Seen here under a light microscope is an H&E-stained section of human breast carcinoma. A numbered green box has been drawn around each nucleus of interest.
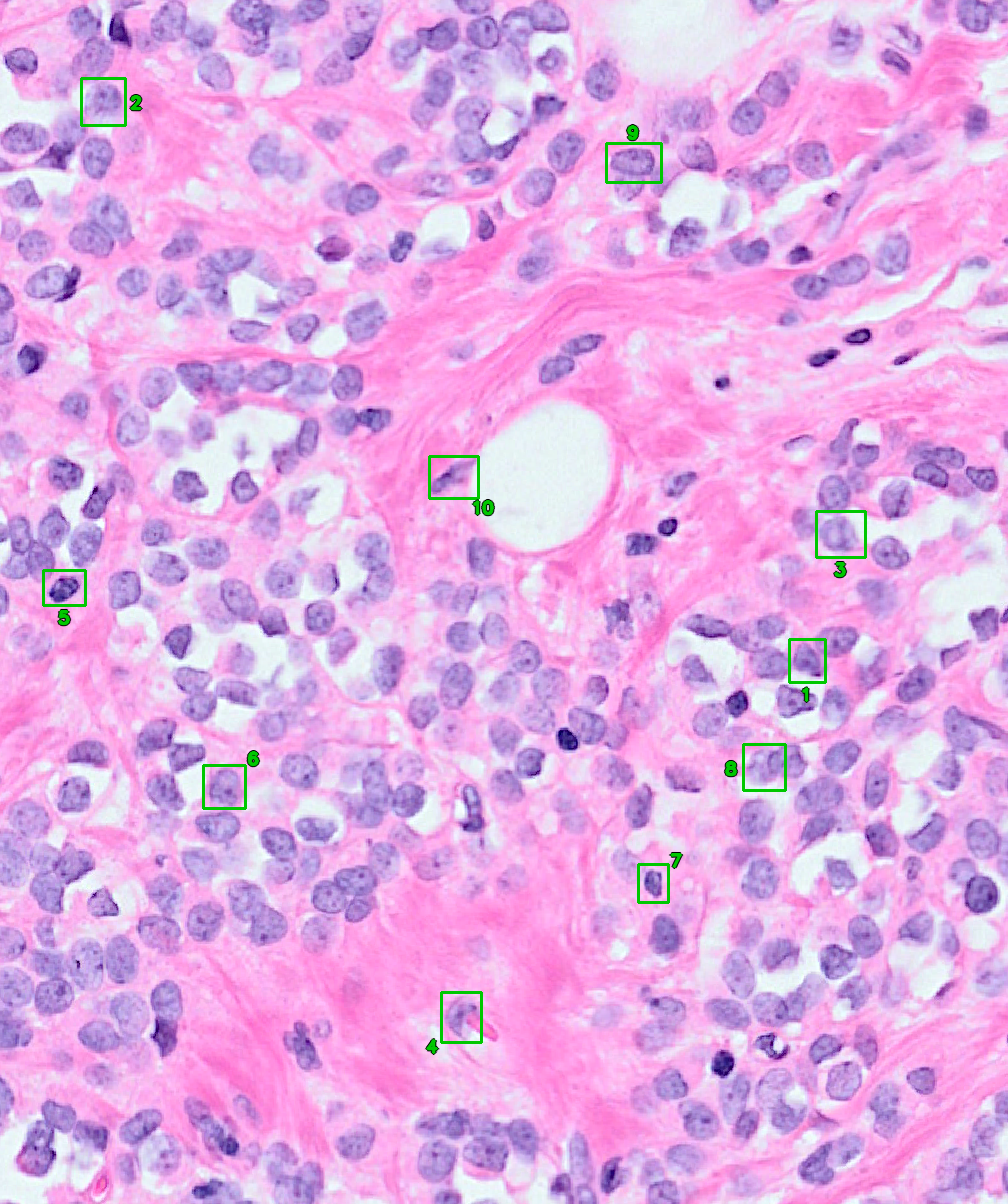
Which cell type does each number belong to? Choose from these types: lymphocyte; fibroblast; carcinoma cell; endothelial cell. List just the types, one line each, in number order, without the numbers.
carcinoma cell
carcinoma cell
carcinoma cell
endothelial cell
lymphocyte
carcinoma cell
lymphocyte
carcinoma cell
carcinoma cell
fibroblast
